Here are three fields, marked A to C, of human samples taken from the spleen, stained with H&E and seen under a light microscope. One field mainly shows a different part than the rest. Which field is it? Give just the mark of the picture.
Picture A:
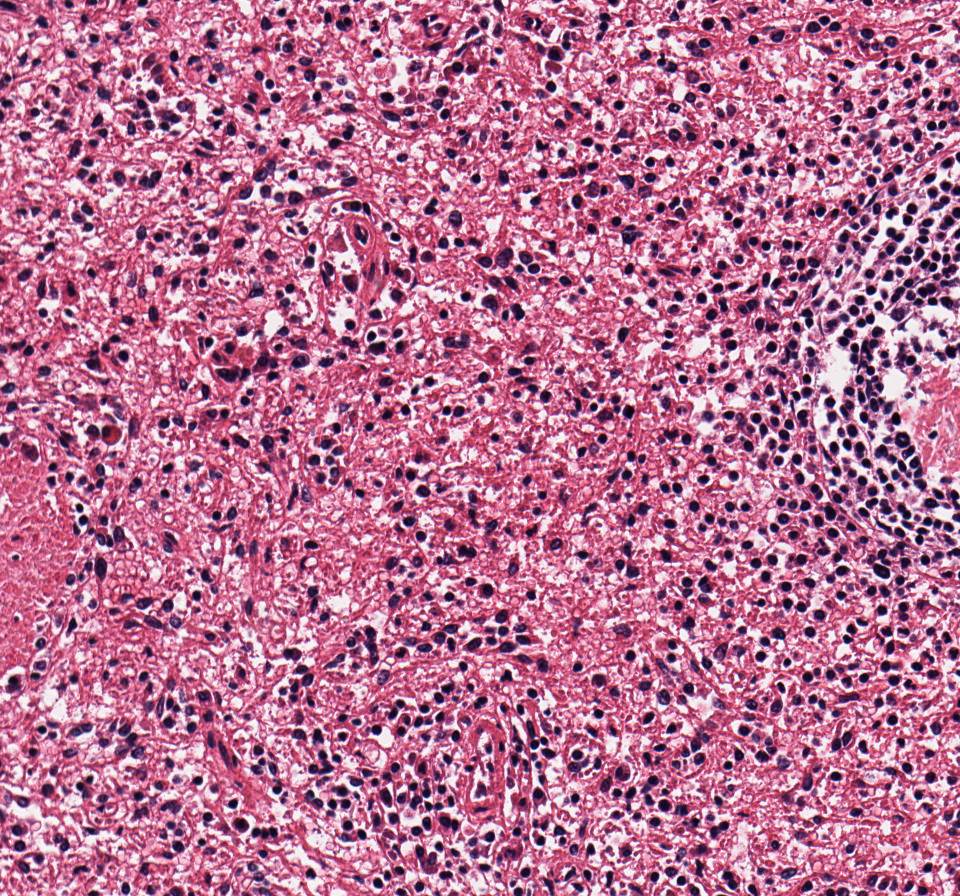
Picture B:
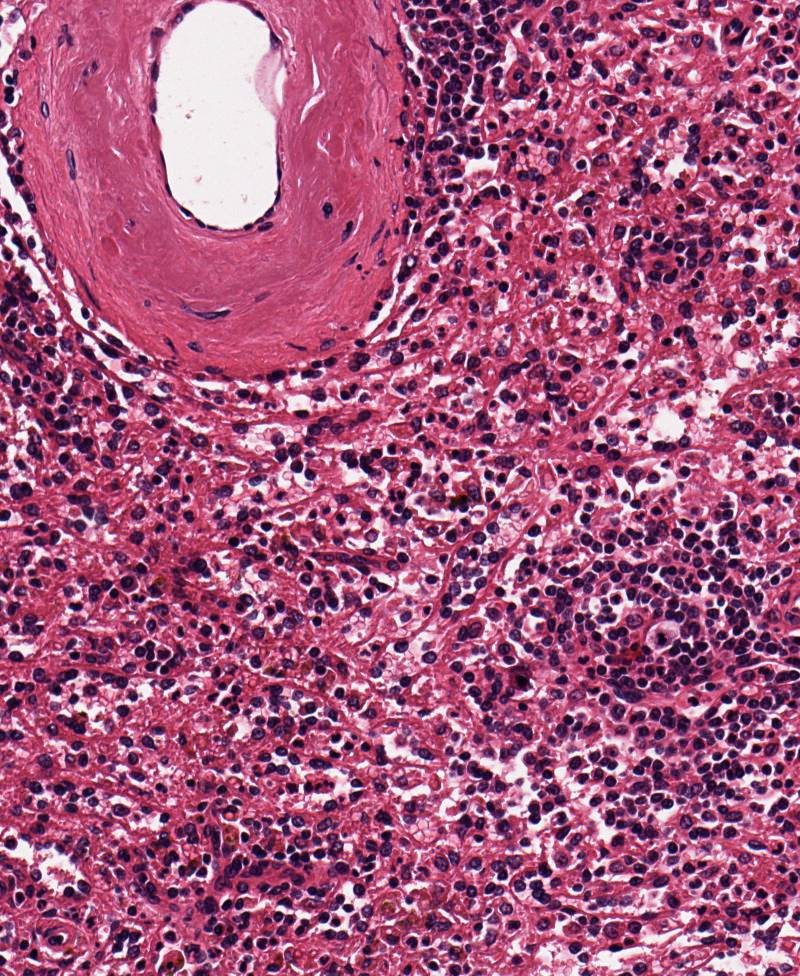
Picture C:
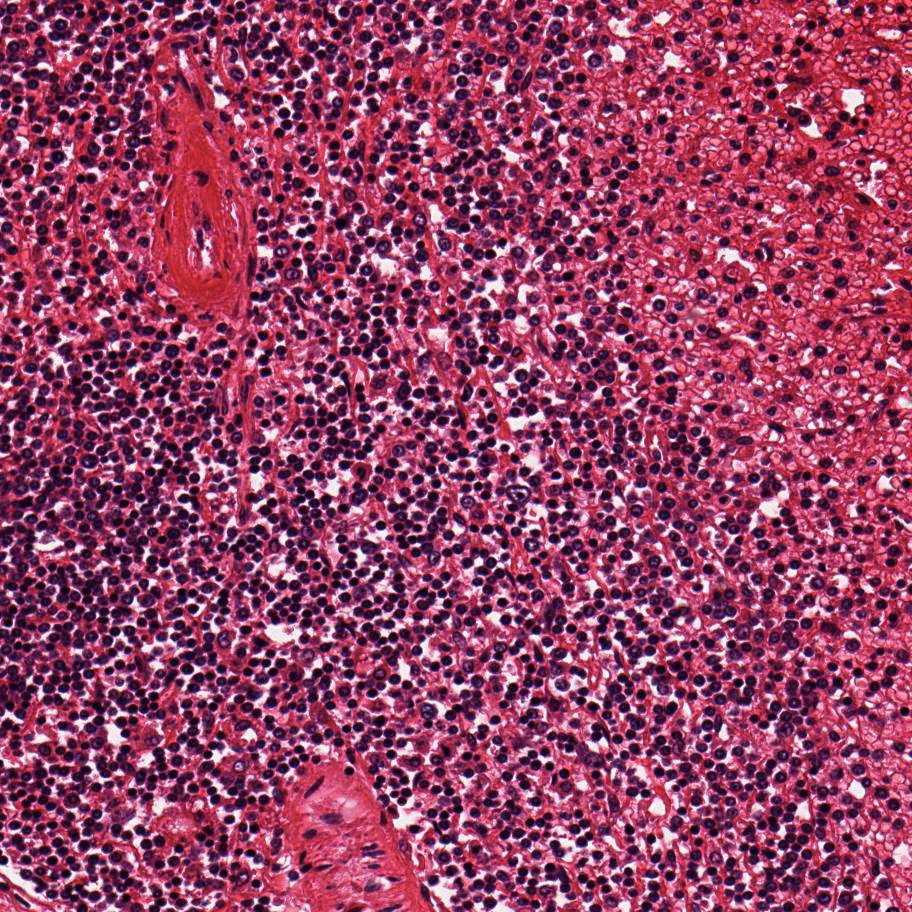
C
